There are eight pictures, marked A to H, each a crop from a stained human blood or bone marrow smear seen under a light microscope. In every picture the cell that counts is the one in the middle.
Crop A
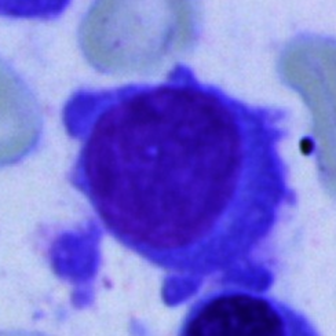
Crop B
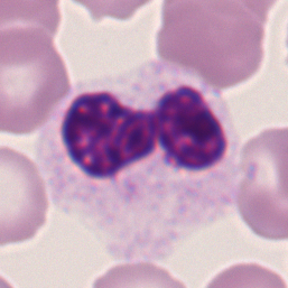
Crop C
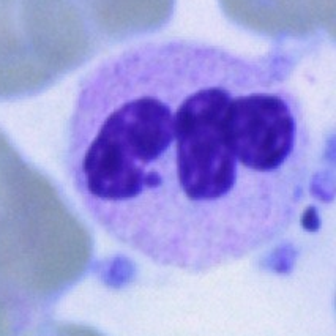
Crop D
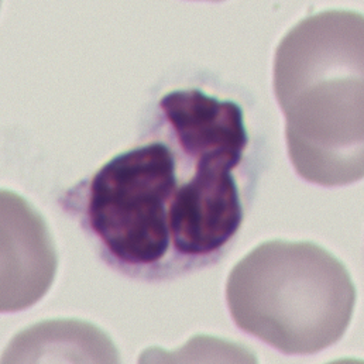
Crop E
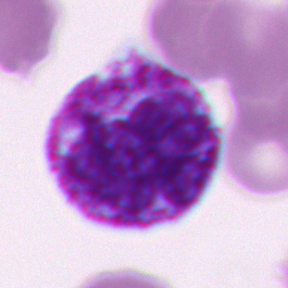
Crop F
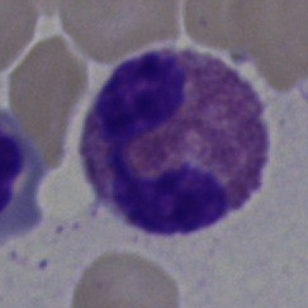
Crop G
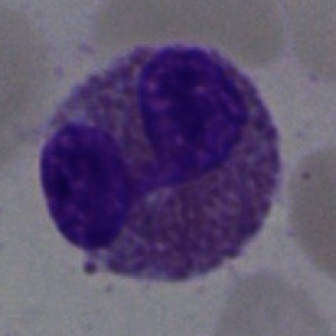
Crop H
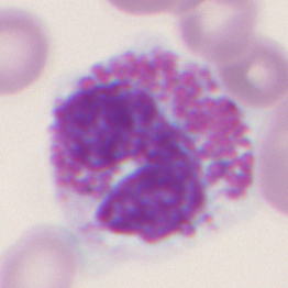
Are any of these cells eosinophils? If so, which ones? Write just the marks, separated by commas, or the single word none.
E, F, G, H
